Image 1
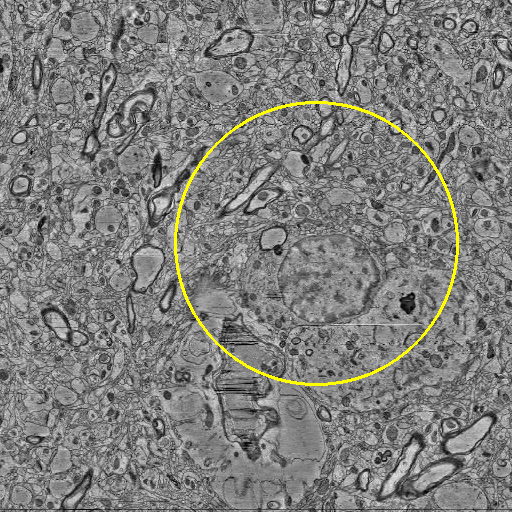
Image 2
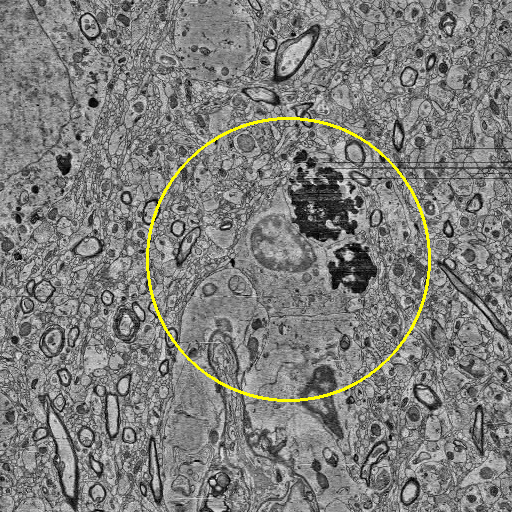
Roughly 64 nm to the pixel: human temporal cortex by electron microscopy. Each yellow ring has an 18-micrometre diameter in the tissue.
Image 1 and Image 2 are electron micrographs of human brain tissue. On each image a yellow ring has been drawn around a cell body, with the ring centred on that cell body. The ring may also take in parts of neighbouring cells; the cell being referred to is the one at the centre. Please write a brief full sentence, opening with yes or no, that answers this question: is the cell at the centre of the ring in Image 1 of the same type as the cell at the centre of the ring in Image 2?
Yes, both cells are of the same type.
